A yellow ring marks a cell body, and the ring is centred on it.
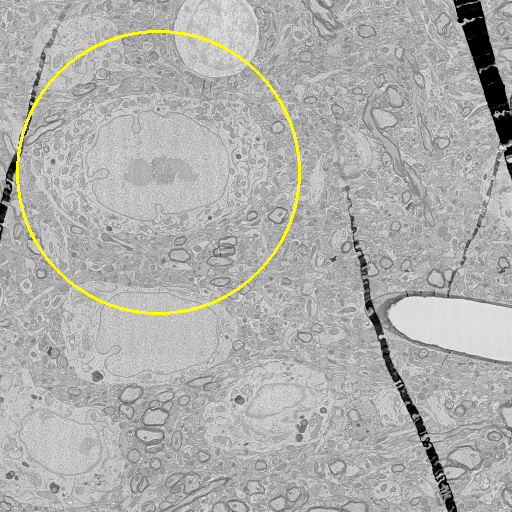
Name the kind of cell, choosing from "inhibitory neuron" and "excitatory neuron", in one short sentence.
The marked cell body belongs to an inhibitory neuron.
